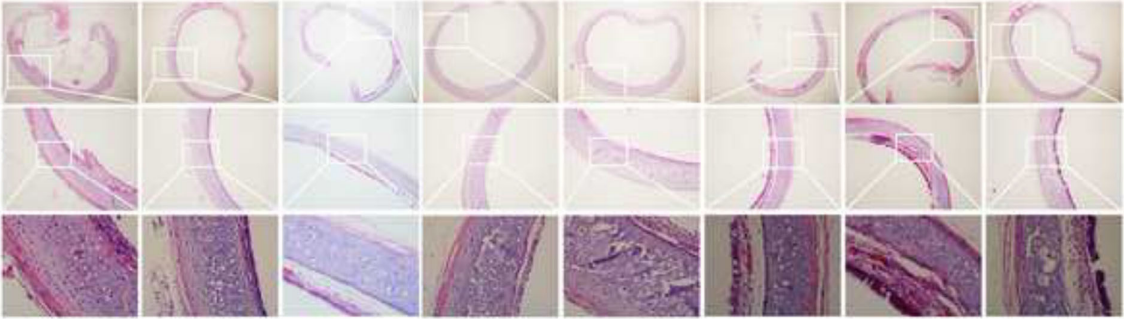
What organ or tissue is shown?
Trachea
